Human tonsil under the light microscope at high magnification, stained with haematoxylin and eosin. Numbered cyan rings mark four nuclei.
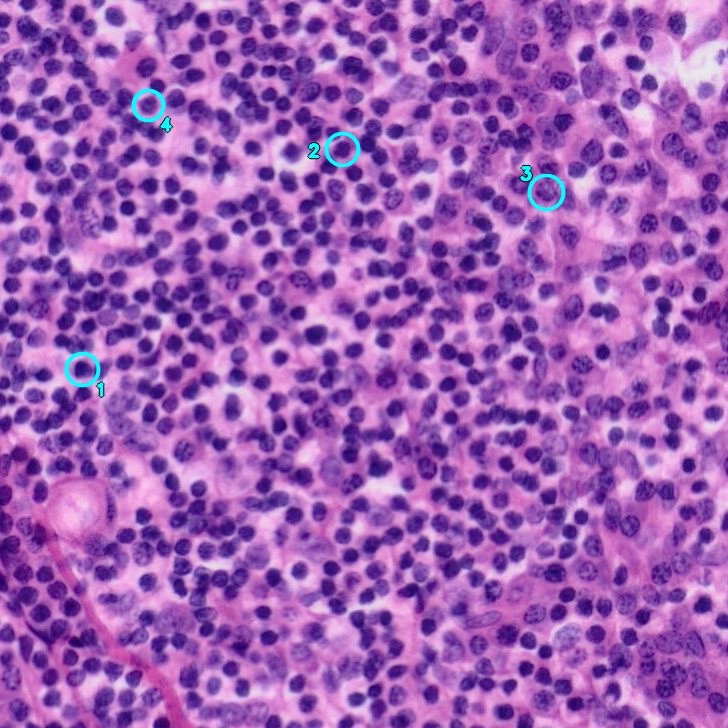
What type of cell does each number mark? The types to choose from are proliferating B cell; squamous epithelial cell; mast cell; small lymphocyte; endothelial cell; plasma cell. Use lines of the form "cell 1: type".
cell 1: small lymphocyte
cell 2: small lymphocyte
cell 3: plasma cell
cell 4: small lymphocyte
